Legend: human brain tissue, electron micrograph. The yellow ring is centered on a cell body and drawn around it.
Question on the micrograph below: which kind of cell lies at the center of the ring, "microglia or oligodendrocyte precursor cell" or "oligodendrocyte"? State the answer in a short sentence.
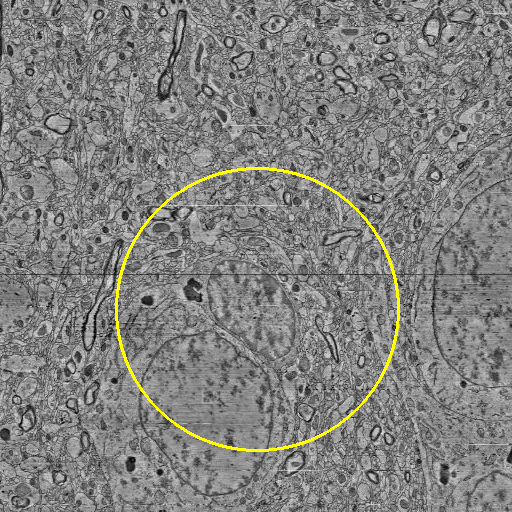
At the center of the ring lies an oligodendrocyte.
